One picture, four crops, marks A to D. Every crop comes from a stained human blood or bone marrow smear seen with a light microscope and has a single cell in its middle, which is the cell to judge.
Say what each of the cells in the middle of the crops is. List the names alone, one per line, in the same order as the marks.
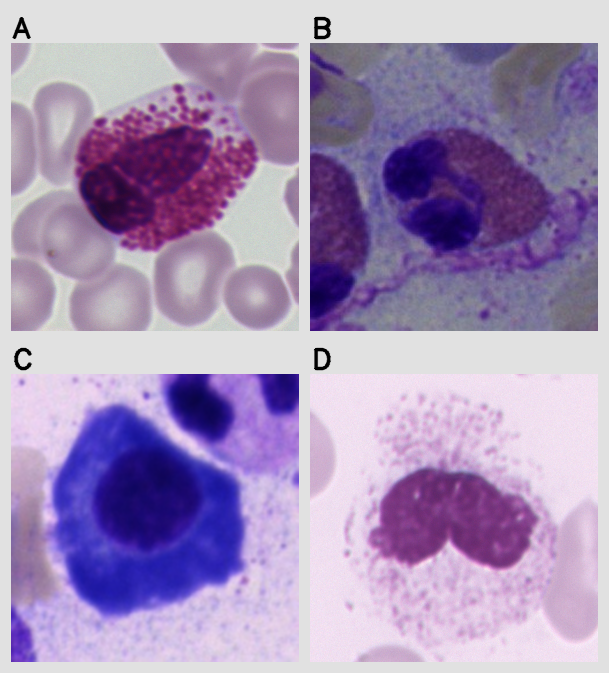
eosinophil
eosinophil
plasma cell
band neutrophil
